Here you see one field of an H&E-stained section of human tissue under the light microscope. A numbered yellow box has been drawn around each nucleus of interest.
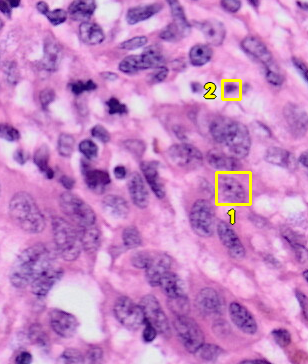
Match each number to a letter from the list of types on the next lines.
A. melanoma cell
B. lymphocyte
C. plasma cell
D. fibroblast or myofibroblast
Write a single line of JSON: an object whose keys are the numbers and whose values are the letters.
{"1": "A", "2": "B"}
